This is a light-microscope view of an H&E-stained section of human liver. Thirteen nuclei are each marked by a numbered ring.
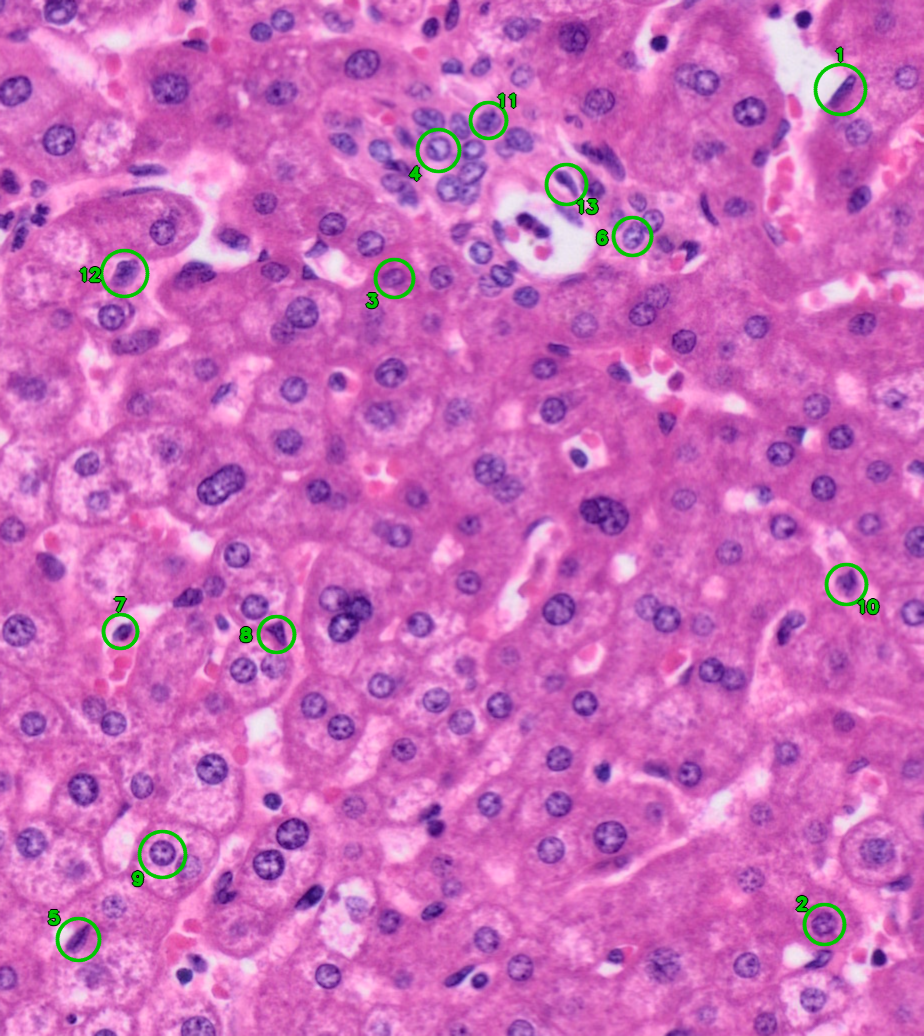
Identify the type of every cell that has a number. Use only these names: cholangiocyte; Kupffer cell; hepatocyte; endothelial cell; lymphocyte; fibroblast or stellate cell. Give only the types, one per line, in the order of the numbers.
endothelial cell
hepatocyte
hepatocyte
cholangiocyte
endothelial cell
cholangiocyte
lymphocyte
fibroblast or stellate cell
hepatocyte
Kupffer cell
cholangiocyte
endothelial cell
fibroblast or stellate cell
